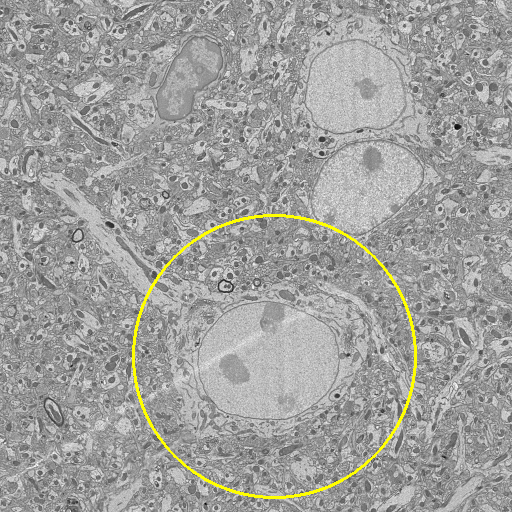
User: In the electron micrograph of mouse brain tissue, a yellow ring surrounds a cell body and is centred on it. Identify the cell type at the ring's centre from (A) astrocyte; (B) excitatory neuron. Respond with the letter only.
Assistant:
B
